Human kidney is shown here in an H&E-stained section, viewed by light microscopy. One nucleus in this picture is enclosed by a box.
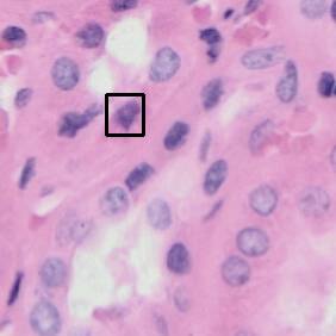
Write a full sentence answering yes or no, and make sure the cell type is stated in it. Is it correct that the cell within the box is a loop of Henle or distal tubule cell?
Yes, the cell within the box is, by type, a loop of Henle or distal tubule cell.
